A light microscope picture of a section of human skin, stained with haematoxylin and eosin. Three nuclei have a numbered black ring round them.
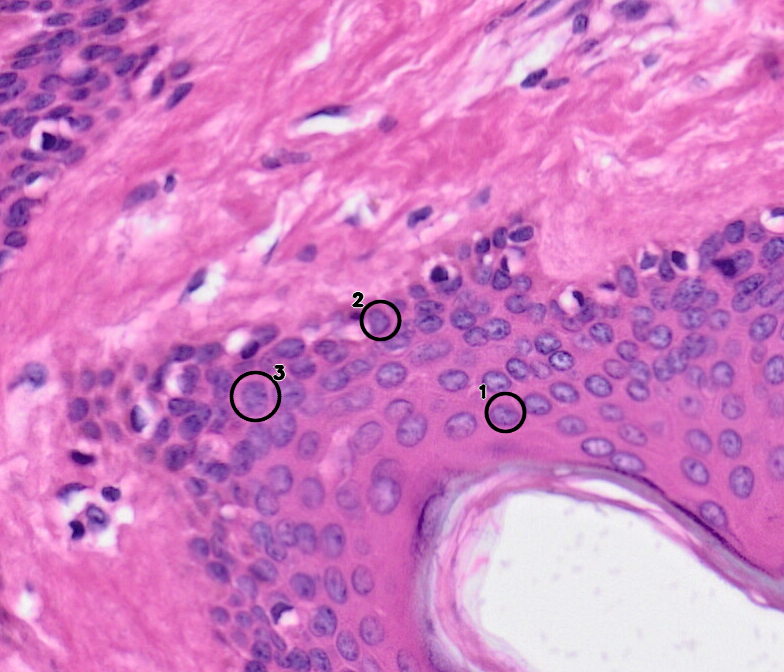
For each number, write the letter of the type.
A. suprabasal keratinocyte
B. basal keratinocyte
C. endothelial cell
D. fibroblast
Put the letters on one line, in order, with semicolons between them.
A; B; A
